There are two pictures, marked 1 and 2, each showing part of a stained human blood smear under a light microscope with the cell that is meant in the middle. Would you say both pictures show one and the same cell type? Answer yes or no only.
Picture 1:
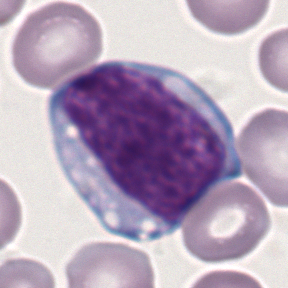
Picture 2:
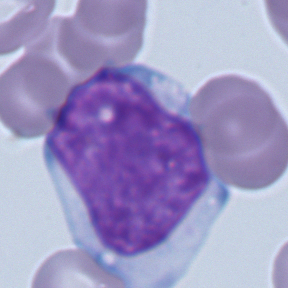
yes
